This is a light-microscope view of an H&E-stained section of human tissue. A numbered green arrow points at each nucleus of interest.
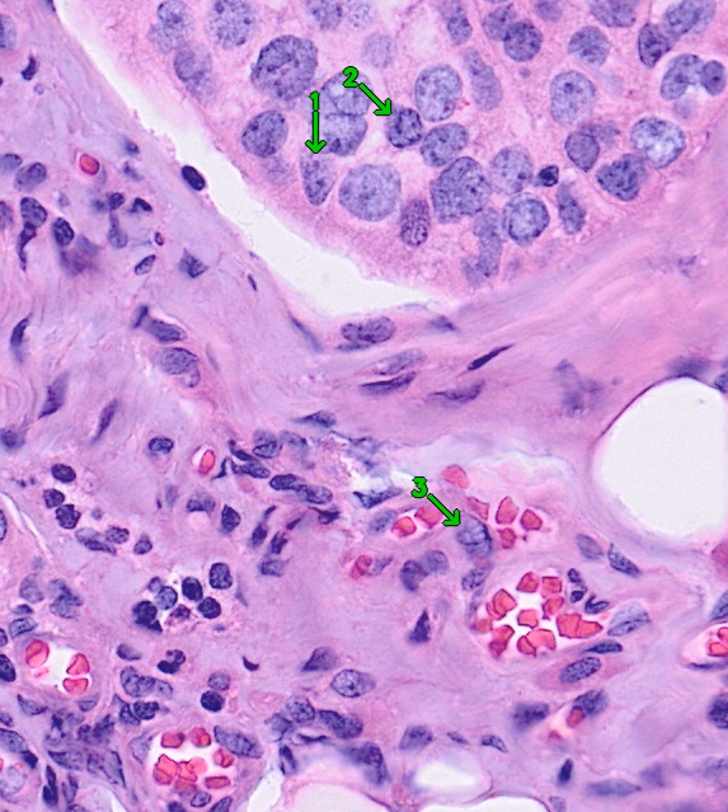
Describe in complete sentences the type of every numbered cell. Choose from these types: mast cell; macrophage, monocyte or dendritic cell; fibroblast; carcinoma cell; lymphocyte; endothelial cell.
Cells 1 and 2 are carcinoma cells. Cell 3 is an endothelial cell.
